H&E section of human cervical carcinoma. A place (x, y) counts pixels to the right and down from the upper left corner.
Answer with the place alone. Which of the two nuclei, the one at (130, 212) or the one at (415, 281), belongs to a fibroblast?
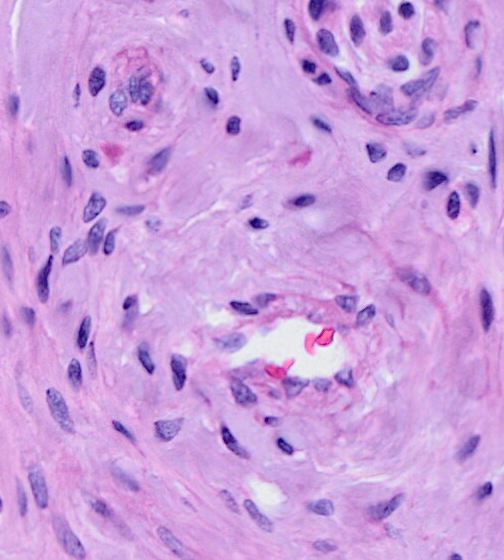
(130, 212)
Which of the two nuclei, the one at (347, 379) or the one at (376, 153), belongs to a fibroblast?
(376, 153)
